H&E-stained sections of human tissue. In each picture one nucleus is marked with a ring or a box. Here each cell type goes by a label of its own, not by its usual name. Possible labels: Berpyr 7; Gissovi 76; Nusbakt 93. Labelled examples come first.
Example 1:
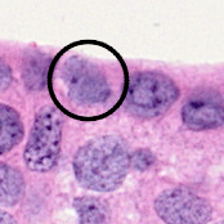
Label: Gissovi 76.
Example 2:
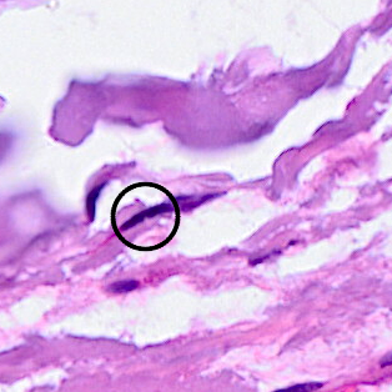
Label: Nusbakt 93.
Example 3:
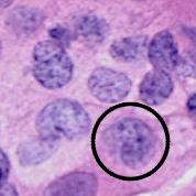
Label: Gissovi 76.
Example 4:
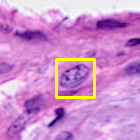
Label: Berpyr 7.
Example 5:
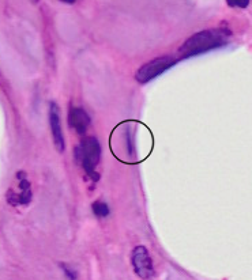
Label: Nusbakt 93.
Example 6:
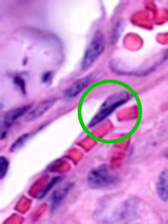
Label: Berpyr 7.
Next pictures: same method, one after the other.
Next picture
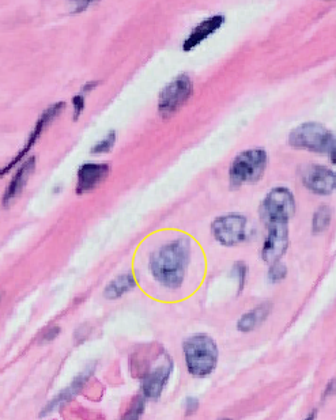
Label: Berpyr 7.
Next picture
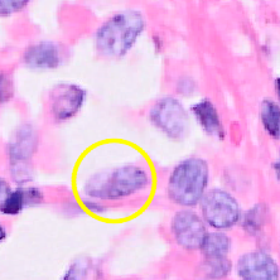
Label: Gissovi 76.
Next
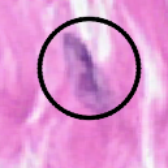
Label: Nusbakt 93.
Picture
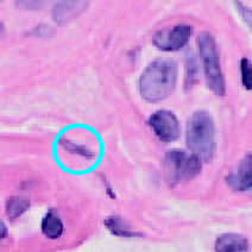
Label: Nusbakt 93.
